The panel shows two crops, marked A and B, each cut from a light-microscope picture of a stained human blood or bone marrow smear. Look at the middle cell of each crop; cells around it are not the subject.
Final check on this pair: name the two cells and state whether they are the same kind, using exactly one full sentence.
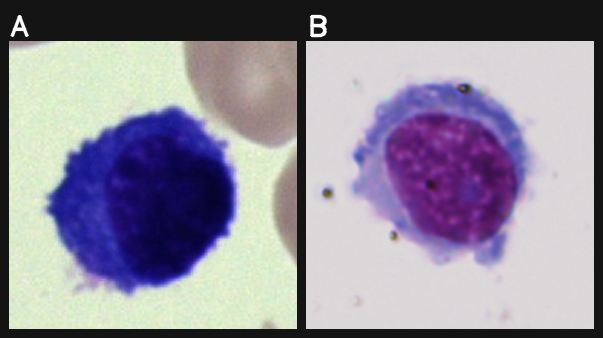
Yes, plasma cells are at the centre in both crops.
